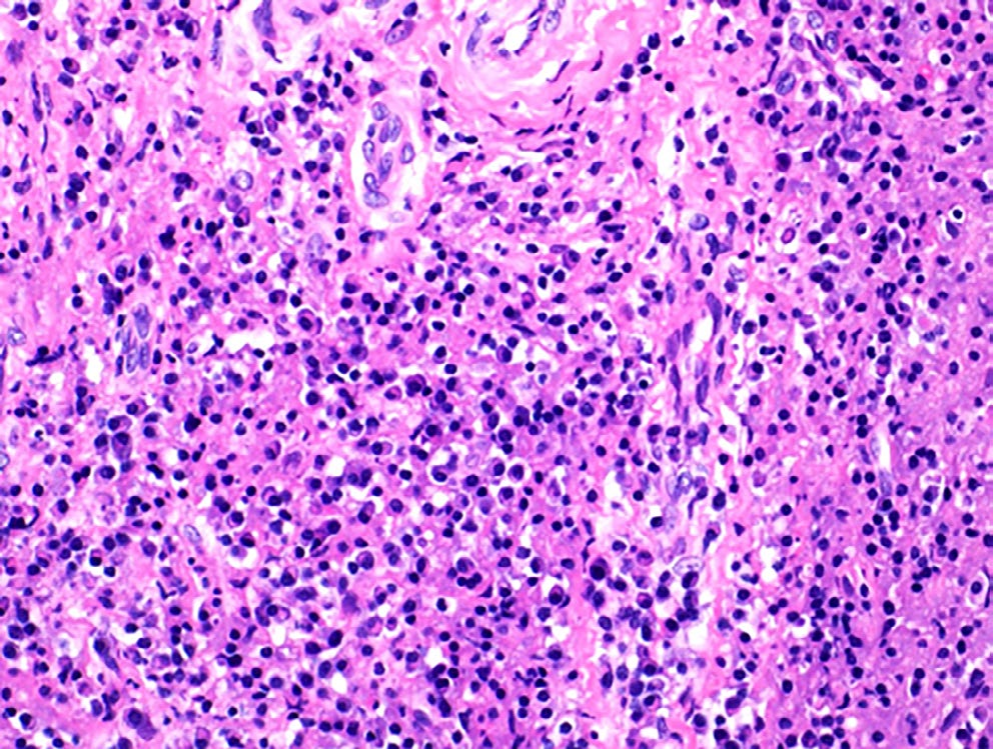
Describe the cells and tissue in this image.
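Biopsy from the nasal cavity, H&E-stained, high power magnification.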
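This is fibrous stroma densely infiltrated by plasma cells that look mature. The cells are round to oval, with small dark round nuclei that often sit to one side of a moderate amount of purplish cytoplasm. They lie in sheets and loose clusters between strands of pale pink collagen. Elongated spindle nuclei of stromal cells and a few small vessels with plump lining cells are scattered among them, especially towards the top of the field. The infiltrate is uniform, without obviously large or bizarre cells.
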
